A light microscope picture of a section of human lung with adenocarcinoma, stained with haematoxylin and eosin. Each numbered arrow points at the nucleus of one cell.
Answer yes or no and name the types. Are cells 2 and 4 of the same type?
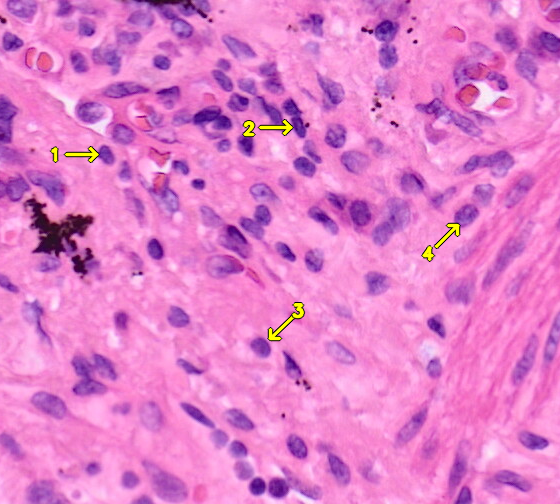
No, the cell tagged 2 is a lymphocyte, whereas the cell tagged 4 is a mast cell.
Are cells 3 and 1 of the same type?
Yes, cells 3 and 1 are, both of them, lymphocytes.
